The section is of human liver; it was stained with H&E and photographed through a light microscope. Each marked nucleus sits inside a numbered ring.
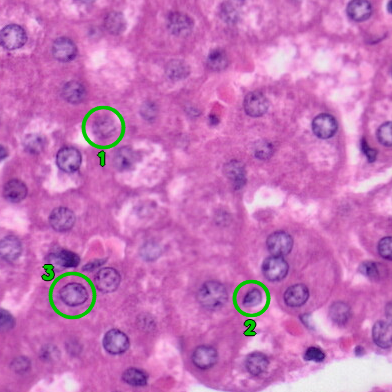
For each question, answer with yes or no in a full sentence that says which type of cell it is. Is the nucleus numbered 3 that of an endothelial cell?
No, the cell carrying number 3 is a hepatocyte rather than an endothelial cell.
